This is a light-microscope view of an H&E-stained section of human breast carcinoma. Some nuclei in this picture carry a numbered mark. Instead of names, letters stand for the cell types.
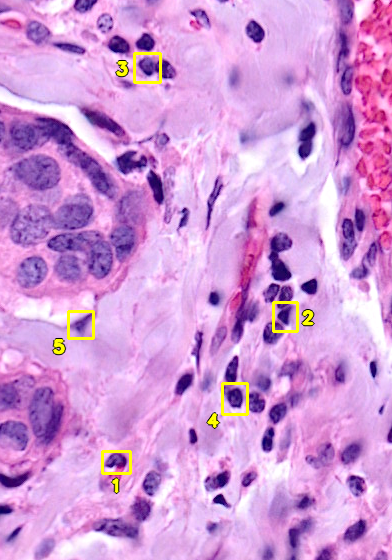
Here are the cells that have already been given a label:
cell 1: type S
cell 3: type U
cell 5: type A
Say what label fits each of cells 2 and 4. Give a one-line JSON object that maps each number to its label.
{"2": "type U", "4": "type U"}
